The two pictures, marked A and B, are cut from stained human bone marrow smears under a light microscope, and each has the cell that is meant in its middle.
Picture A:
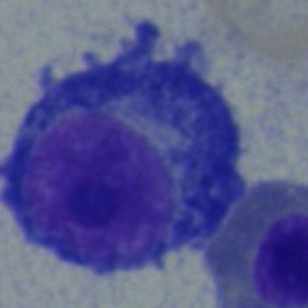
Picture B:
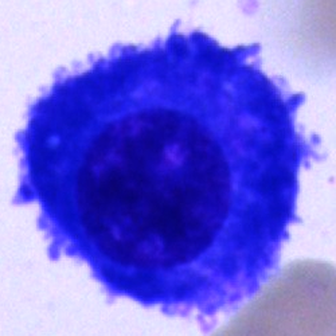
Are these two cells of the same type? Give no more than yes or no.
yes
